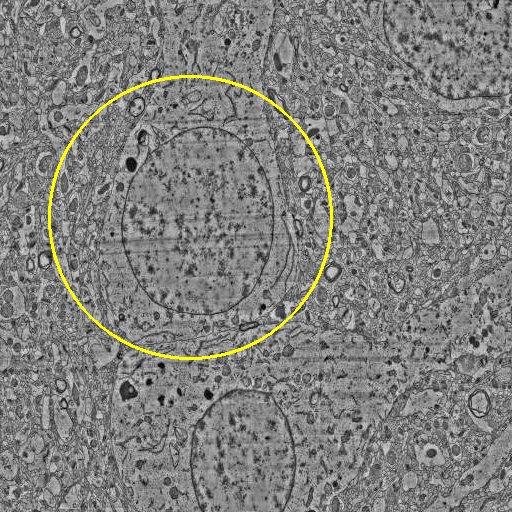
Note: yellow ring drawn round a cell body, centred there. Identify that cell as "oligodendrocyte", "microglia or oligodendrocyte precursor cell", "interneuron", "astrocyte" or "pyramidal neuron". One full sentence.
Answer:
The cell in the middle of the ring is a pyramidal neuron.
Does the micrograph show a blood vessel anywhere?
No, no blood vessel shows in the picture.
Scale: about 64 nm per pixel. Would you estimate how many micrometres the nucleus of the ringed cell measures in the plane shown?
The ringed cell's nucleus is about 12 micrometres long and 10 micrometres wide in this plane.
